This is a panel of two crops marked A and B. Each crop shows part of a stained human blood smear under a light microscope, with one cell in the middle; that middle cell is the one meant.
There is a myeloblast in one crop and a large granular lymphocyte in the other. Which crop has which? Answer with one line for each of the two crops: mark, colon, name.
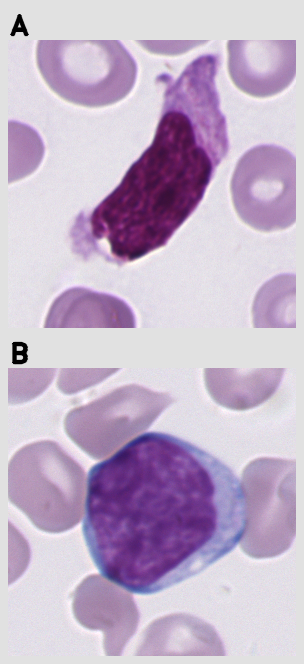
A: large granular lymphocyte
B: myeloblast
